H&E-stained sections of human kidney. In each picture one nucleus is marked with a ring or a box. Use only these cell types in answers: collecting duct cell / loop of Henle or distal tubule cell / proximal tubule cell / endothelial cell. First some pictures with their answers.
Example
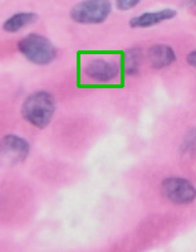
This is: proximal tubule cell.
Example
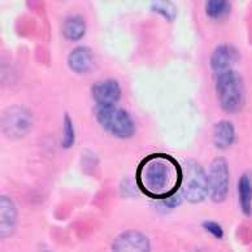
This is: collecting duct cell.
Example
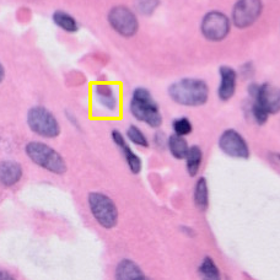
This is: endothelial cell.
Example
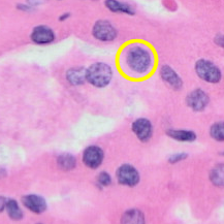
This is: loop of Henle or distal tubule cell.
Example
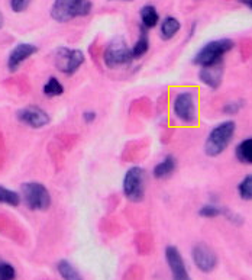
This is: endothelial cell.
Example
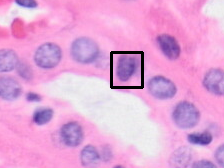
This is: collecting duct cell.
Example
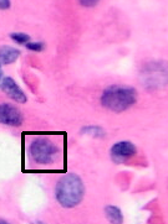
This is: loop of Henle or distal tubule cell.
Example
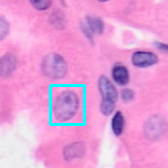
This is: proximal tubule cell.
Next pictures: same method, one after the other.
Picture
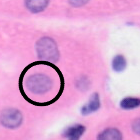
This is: proximal tubule cell.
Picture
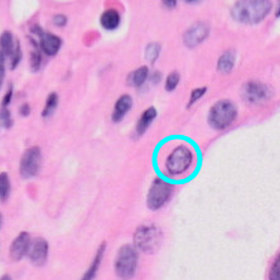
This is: collecting duct cell.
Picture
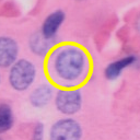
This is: collecting duct cell.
